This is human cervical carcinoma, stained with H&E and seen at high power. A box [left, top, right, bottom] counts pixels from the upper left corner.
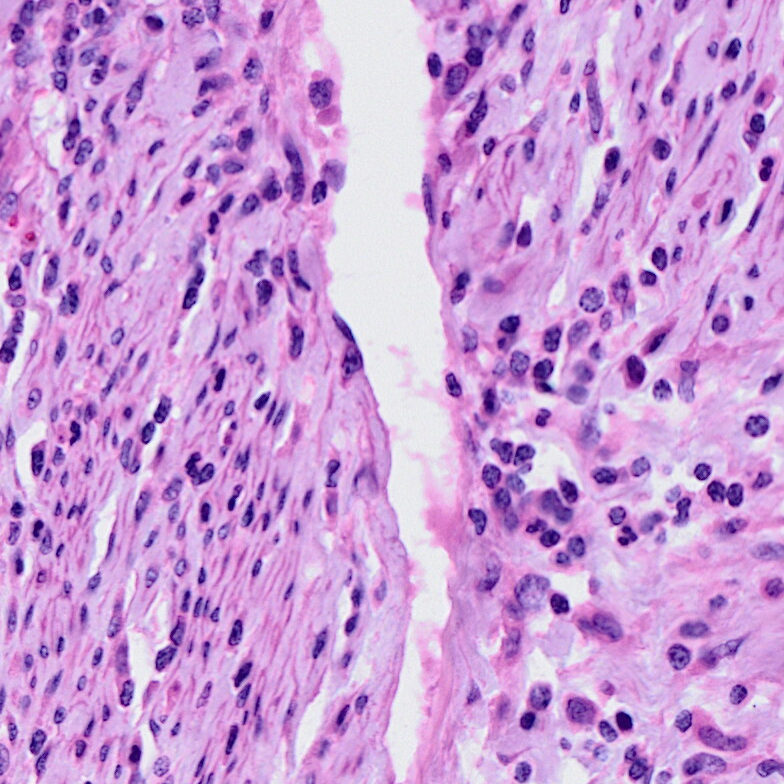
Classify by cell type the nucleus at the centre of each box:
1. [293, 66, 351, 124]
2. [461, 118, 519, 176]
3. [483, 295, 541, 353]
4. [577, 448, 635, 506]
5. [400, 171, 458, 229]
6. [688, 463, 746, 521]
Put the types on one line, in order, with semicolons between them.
macrophage or monocyte; lymphocyte; lymphocyte; lymphocyte; endothelial cell; lymphocyte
